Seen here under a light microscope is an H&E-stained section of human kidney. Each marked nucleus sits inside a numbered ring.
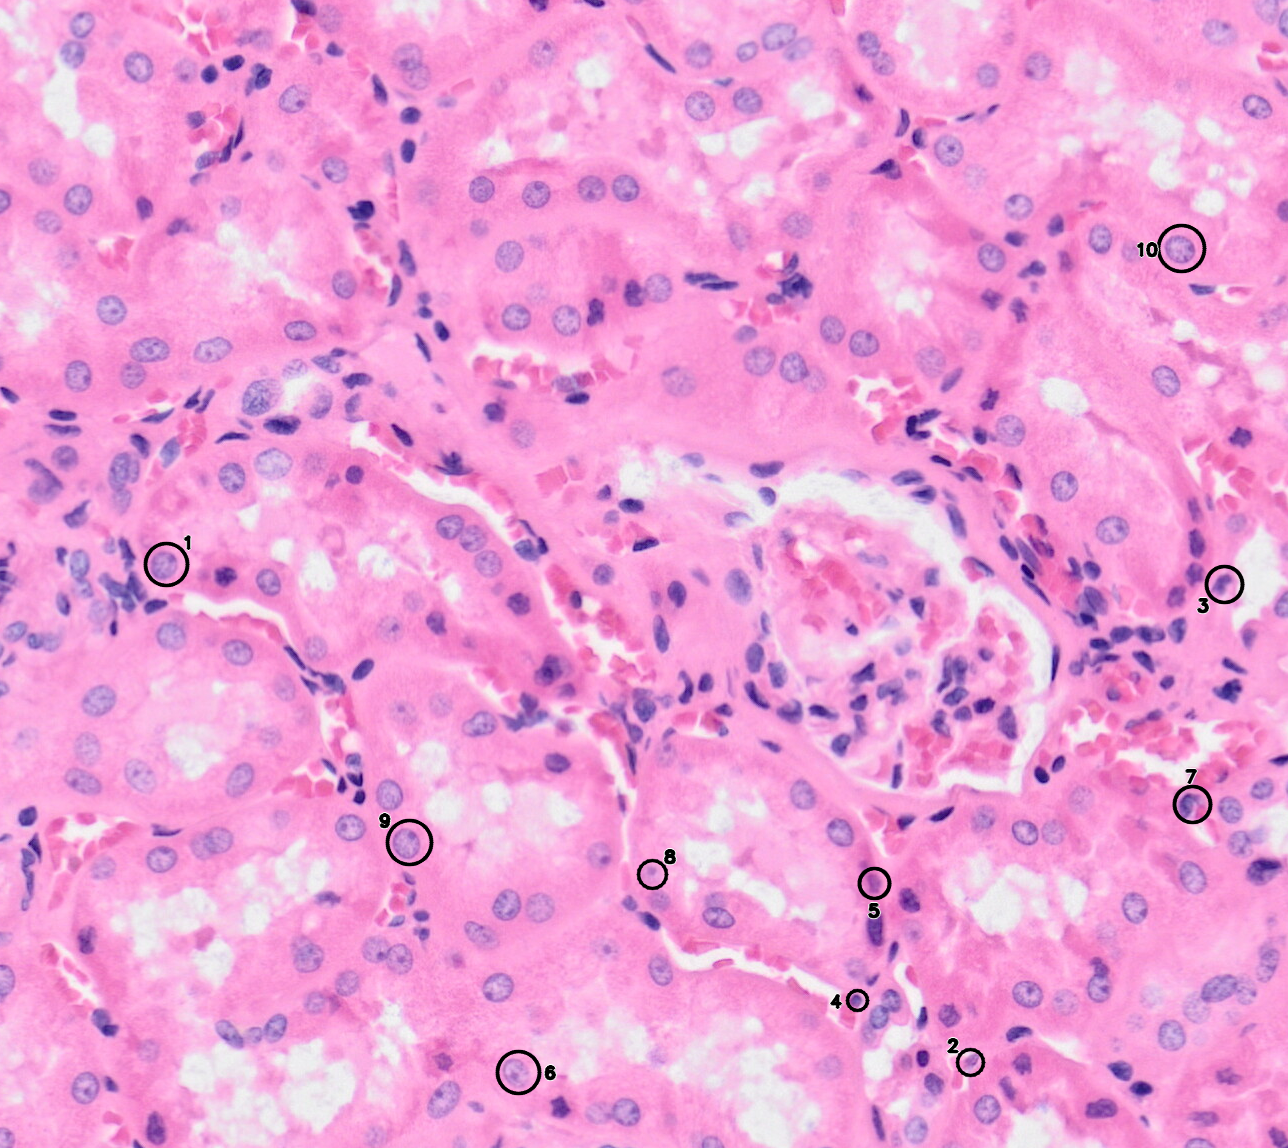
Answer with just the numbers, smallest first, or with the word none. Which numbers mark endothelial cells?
2, 4, 7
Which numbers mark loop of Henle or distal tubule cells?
3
